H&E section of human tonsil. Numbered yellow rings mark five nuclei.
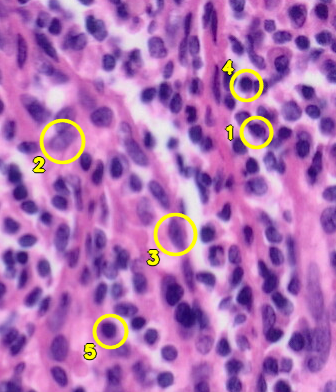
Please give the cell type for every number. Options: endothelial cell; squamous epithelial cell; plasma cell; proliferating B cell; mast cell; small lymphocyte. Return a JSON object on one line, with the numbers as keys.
{"1": "small lymphocyte", "2": "endothelial cell", "3": "endothelial cell", "4": "small lymphocyte", "5": "endothelial cell"}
